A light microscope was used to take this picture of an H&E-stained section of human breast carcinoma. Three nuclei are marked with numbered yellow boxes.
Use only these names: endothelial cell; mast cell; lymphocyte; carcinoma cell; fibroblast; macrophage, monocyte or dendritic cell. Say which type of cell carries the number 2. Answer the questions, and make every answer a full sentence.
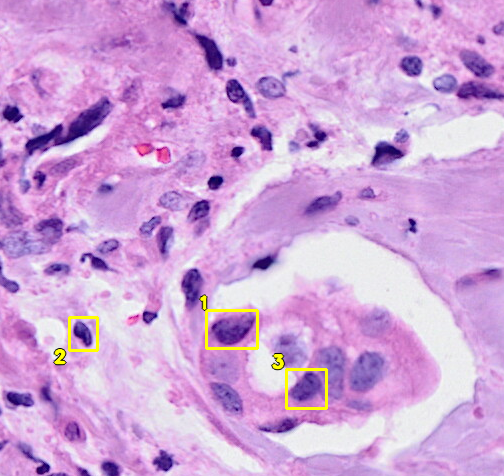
In the tissue shown, cell 2 is a lymphocyte.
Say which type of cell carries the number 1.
The cell pointed out as number 1 is a carcinoma cell.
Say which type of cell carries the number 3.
Cell 3 in the field is a carcinoma cell.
